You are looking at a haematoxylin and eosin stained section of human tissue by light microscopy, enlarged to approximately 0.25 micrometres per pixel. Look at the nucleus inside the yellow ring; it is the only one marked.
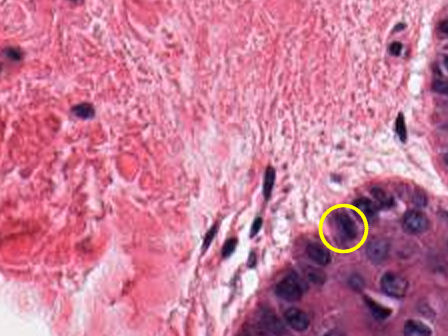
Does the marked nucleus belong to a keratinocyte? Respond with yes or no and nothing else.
yes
